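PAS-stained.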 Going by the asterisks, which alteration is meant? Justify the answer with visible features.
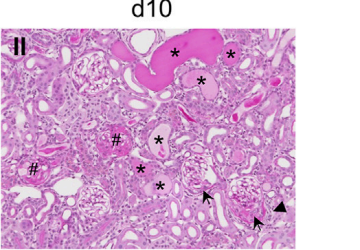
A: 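Protein casts. Tubule lumina marked by asterisks are filled with homogeneous bright pink material. The filled tubules are dilated compared with neighbouring tubules.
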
